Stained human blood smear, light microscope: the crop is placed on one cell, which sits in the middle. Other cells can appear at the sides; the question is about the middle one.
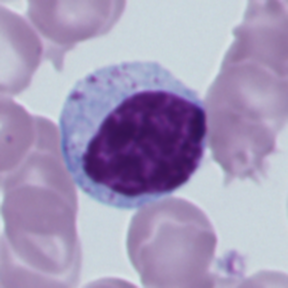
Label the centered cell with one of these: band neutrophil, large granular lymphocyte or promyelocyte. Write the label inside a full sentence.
The cell of interest, in the center, is a large granular lymphocyte.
